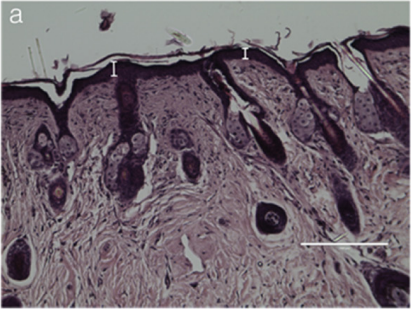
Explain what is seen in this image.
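Section of skin showing a thin, dark-purple epidermis only a few cell layers deep, covered by a loose, flaking outer layer. Below lies a pink dermis of wavy collagen fibres with scattered small nuclei. Numerous hair follicles, cut obliquely and in cross section, extend from the surface down into the dermis, some with sebaceous glands alongside.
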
